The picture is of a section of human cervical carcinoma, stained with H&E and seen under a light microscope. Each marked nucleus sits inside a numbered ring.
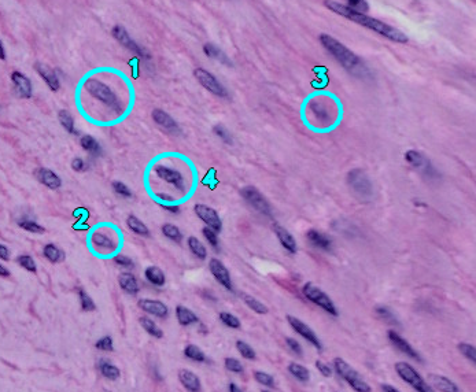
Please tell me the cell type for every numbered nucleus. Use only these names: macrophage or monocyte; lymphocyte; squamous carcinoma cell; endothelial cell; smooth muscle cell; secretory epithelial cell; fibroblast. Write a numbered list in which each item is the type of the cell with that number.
1. smooth muscle cell
2. smooth muscle cell
3. smooth muscle cell
4. fibroblast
